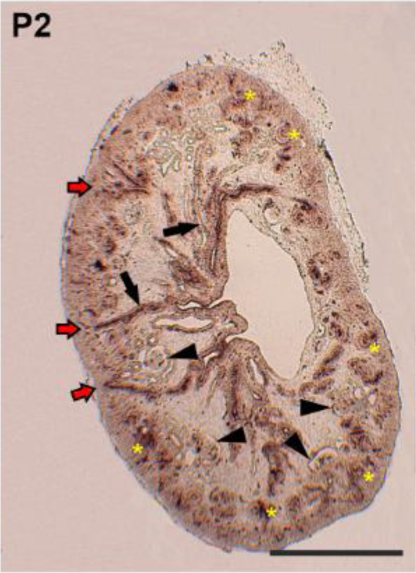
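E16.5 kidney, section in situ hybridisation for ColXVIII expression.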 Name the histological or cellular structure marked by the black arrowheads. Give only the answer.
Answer: Glomeruli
